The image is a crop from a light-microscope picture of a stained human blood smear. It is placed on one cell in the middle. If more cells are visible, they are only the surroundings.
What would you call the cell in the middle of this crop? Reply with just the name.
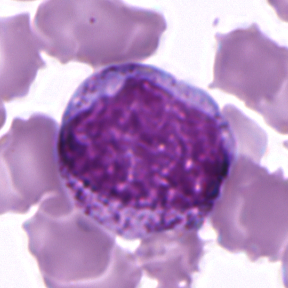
myelocyte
